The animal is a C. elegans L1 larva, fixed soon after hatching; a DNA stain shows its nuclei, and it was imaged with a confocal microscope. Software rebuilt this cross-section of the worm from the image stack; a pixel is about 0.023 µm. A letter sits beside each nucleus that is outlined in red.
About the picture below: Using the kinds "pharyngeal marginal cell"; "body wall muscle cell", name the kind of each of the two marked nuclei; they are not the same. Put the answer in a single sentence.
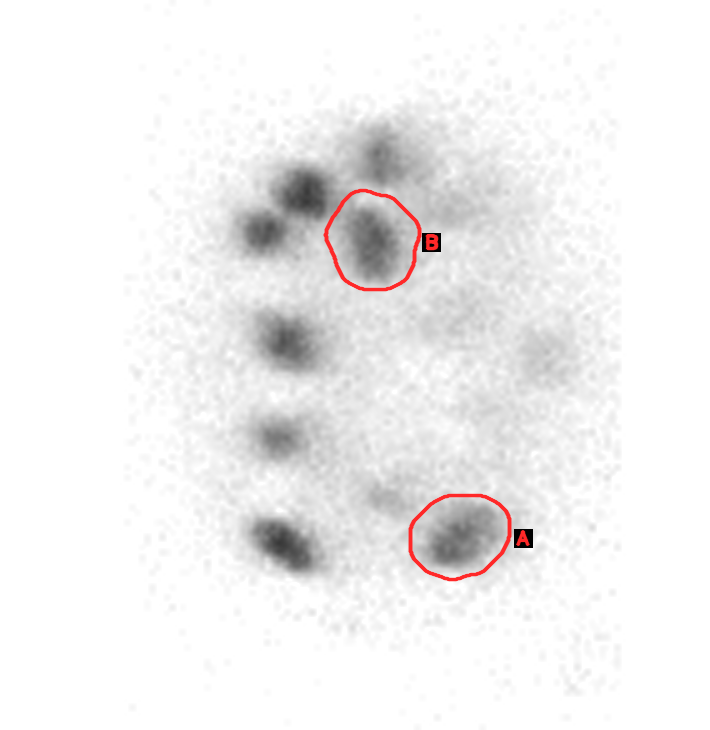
A is from a body wall muscle cell, and B is from a pharyngeal marginal cell.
